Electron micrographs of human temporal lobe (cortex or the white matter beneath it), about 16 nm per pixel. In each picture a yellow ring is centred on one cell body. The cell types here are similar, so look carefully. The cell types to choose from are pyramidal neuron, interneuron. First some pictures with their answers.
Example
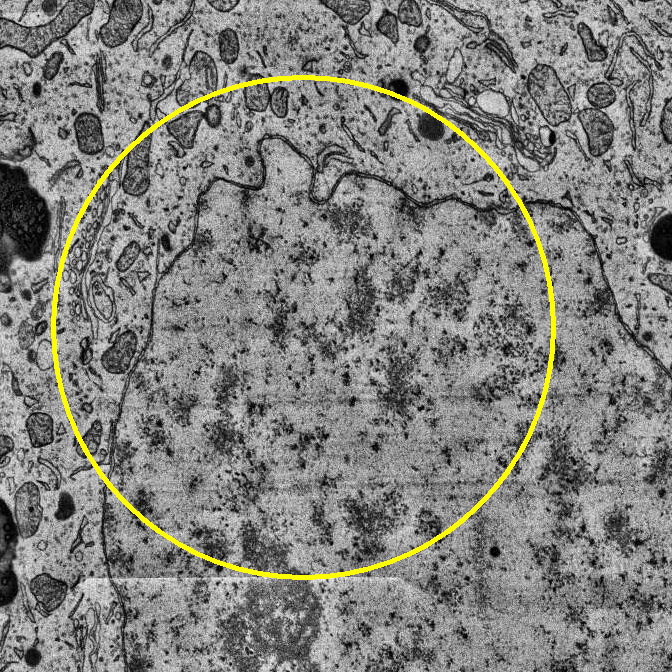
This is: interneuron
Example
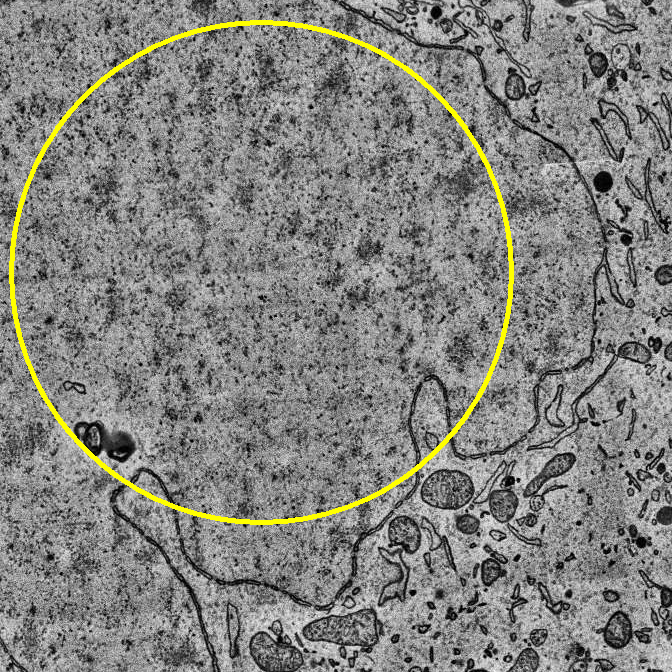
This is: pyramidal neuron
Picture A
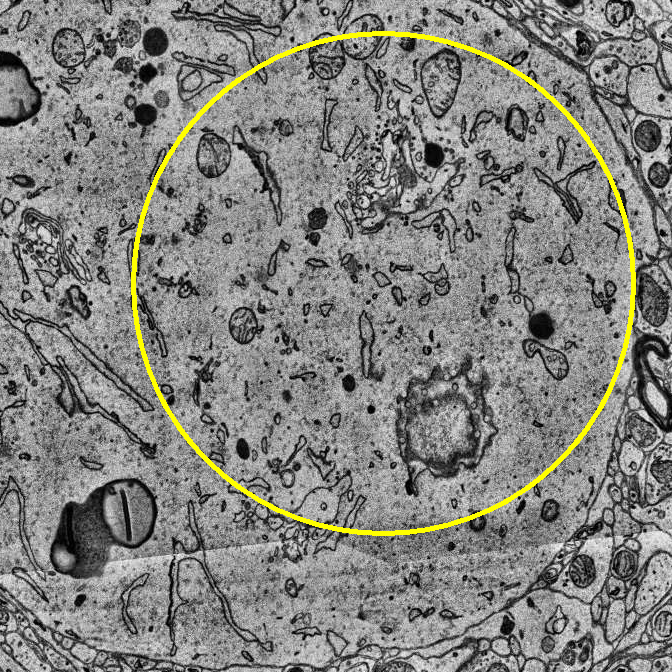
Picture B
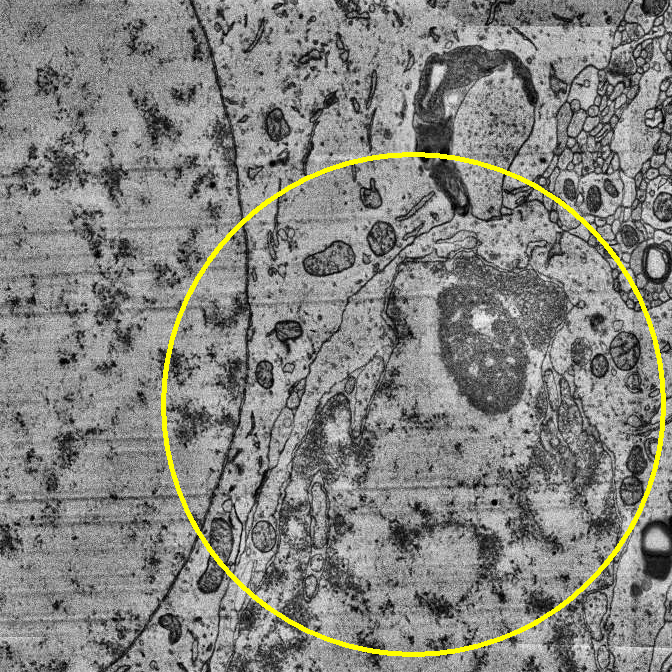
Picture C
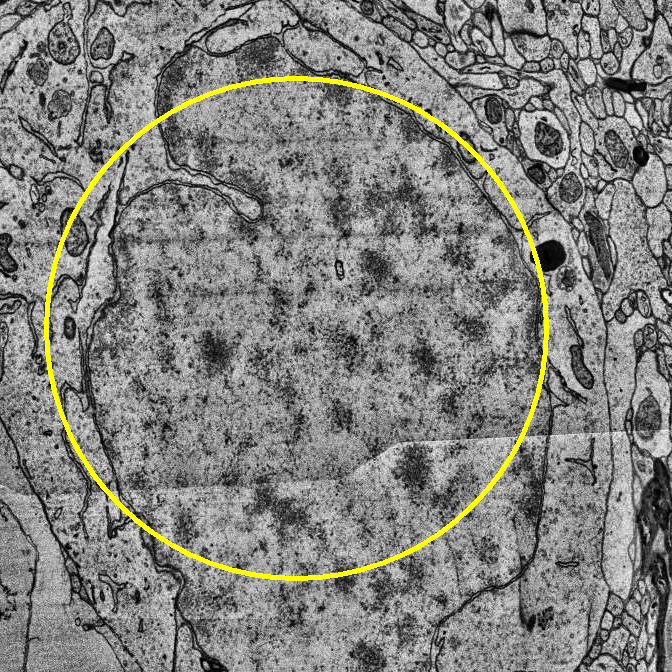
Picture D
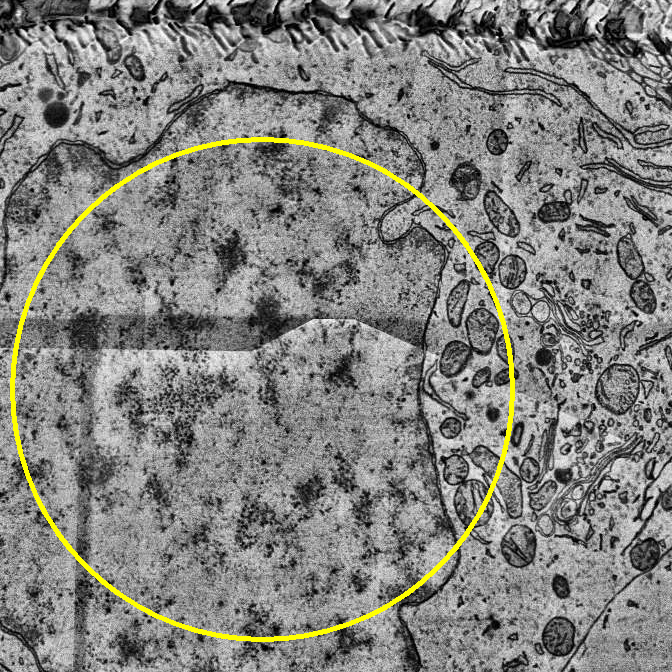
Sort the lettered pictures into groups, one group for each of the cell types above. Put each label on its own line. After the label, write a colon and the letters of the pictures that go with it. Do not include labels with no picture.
pyramidal neuron: A
interneuron: B, C, D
